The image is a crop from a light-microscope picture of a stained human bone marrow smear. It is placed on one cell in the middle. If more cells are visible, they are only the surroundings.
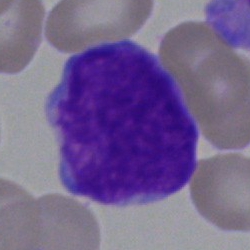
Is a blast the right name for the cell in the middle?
yes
